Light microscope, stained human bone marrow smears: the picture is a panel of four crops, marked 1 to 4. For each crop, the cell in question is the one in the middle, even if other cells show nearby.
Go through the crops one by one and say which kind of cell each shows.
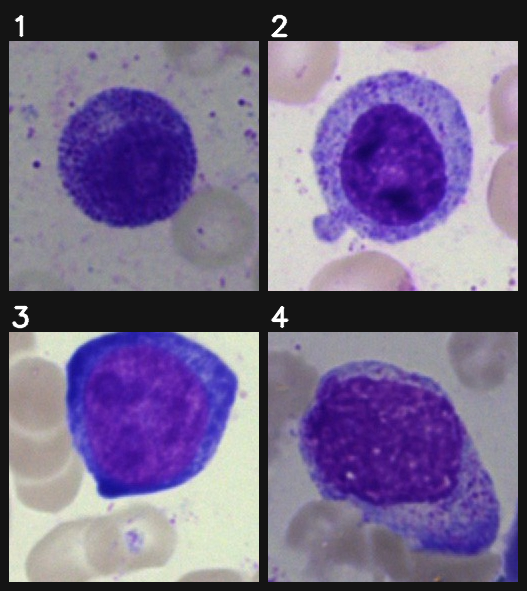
1: myelocyte
2: myelocyte
3: proerythroblast
4: promyelocyte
